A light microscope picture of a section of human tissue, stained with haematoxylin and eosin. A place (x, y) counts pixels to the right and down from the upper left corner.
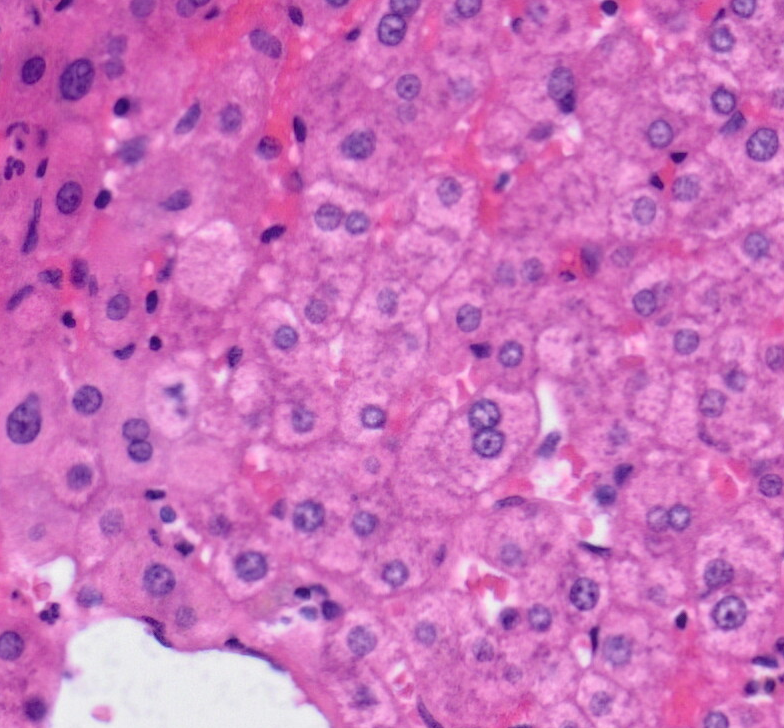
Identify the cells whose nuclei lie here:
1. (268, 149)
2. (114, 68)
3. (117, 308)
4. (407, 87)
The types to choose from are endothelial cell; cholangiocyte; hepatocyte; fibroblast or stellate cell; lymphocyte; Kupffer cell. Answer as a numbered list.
1. endothelial cell
2. hepatocyte
3. hepatocyte
4. hepatocyte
